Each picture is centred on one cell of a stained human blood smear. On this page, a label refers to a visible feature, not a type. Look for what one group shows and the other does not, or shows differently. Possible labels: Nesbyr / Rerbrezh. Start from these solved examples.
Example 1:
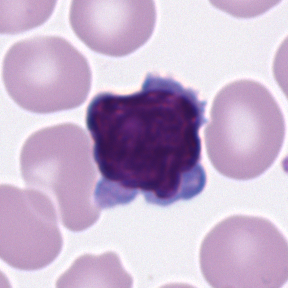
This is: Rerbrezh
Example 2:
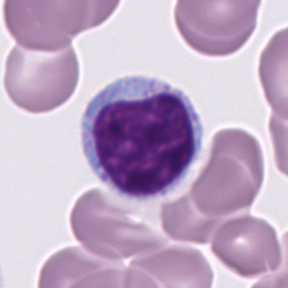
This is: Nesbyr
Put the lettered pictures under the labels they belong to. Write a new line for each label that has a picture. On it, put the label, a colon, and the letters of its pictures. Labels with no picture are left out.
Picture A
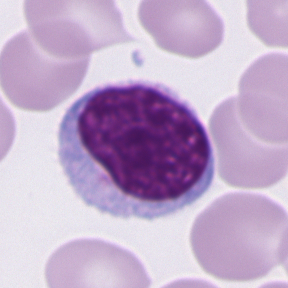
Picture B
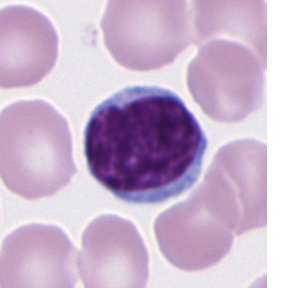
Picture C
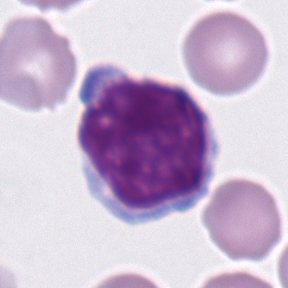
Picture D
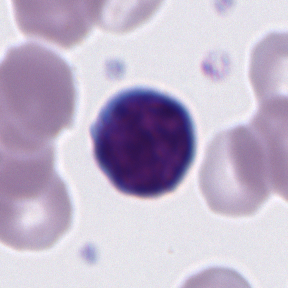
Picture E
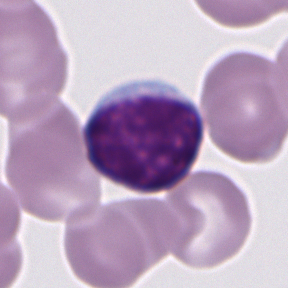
Nesbyr: B, D, E
Rerbrezh: A, C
